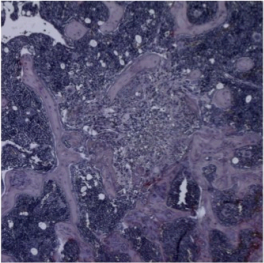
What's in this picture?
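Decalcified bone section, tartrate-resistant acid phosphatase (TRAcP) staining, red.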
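The spaces between these strands are filled with densely packed small cells whose nuclei stain dark purple, giving a granular, crowded look. Near the centre lies a paler, looser patch where the cells are more spread out and the matrix strands converge. A few clear, empty gaps and rounded spaces are scattered through the cell-filled areas.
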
